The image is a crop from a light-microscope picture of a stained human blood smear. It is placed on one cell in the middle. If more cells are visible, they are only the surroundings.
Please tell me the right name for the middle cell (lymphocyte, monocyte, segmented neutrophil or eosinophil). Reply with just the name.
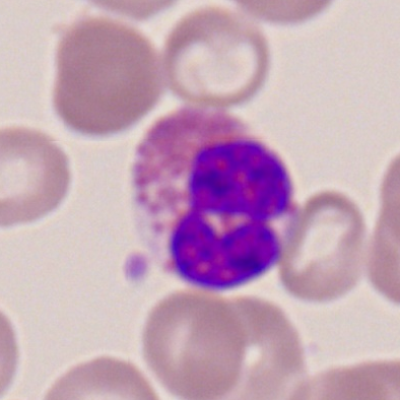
eosinophil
